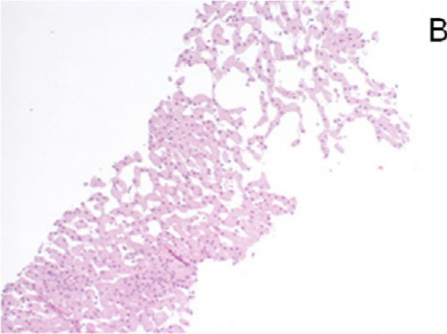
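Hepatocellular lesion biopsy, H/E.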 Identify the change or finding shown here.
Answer: Ectatic sinusoids.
